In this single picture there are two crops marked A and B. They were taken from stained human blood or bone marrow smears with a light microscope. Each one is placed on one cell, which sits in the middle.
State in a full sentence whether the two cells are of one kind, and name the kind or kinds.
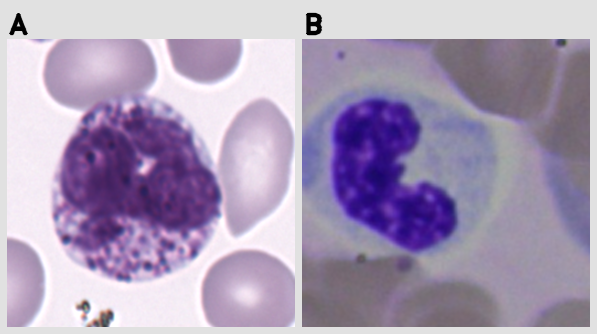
No, the cells are a basophil in crop A and a neutrophil in crop B.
